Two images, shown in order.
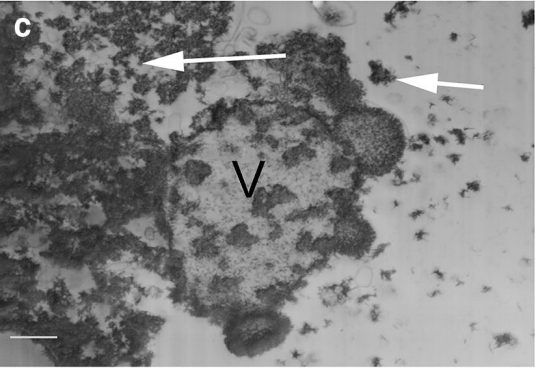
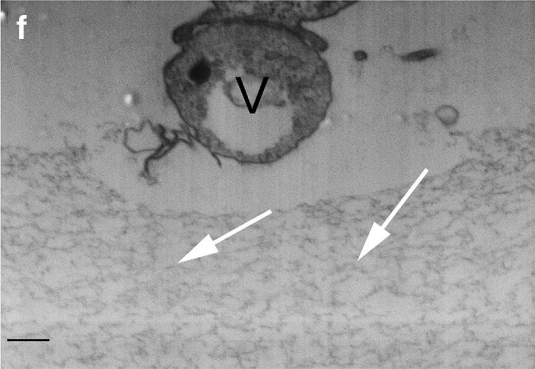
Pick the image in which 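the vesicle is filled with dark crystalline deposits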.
The first image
